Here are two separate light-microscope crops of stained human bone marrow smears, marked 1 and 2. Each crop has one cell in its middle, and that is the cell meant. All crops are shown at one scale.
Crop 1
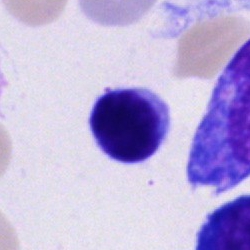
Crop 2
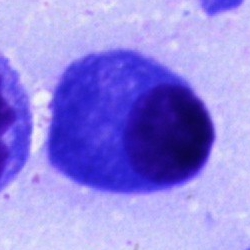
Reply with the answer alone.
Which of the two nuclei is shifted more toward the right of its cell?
2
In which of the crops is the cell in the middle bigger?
2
